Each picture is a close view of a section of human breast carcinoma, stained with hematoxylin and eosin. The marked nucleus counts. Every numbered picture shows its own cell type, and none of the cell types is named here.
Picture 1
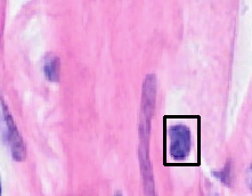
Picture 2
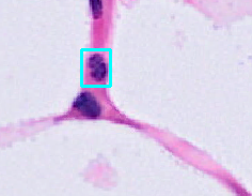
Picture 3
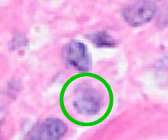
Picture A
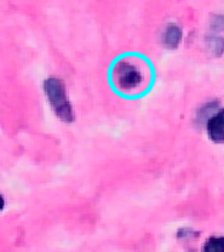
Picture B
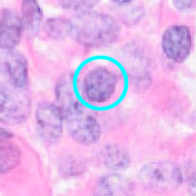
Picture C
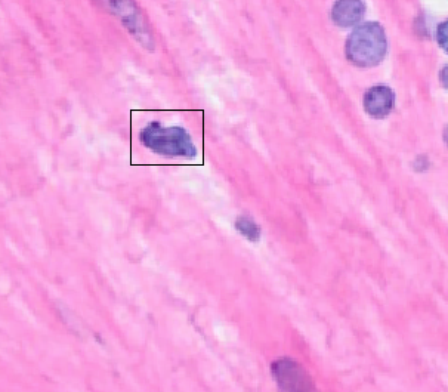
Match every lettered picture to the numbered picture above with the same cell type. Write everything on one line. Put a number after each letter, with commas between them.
A 1, B 3, C 1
